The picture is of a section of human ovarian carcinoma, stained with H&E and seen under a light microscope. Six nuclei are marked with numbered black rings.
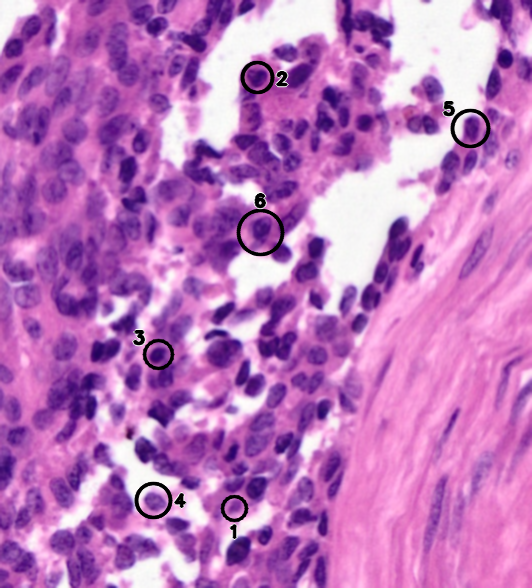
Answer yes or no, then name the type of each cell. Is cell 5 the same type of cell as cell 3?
Yes, the two numbered cells, 5 and 3, are both carcinoma cells.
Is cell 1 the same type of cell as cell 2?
Yes, the cells numbered 1 and 2 are both macrophages or monocytes.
